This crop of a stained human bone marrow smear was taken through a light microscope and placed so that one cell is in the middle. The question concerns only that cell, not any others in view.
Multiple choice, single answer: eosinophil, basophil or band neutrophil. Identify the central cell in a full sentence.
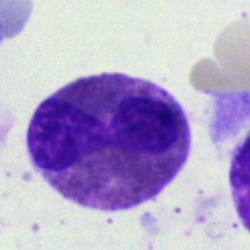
The cell found in the middle of this crop is an eosinophil.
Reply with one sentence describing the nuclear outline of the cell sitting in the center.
It is worth mentioning that the nucleus carries two or more lobes.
